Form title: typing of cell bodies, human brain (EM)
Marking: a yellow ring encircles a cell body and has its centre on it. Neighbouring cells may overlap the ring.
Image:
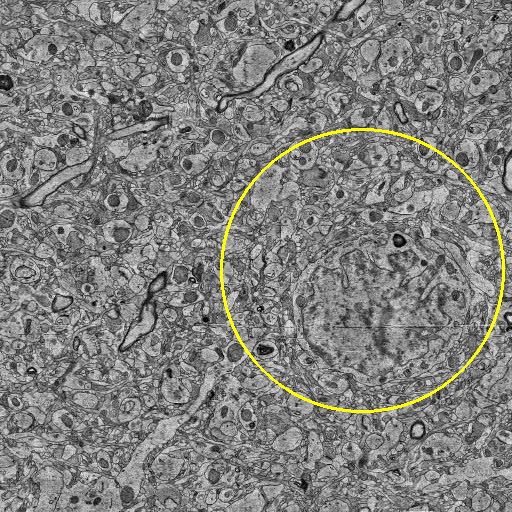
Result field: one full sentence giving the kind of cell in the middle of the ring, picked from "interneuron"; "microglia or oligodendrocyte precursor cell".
In the picture, the ring is centred on an interneuron, whose cell body it encircles.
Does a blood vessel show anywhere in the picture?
No, none is visible.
